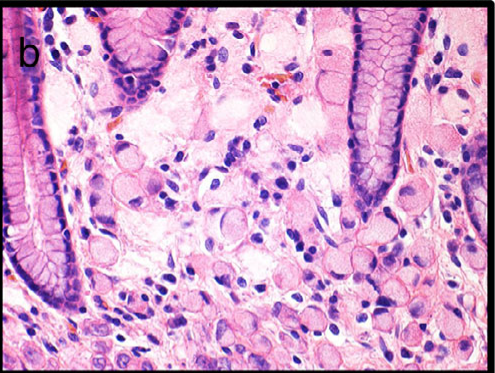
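Here signet ring carcinoma cells are scattered through the mucosa between two gastric pits lined by tall mucous cells. The tumour cells are rounded and lie singly or in loose groups in the stroma, each with abundant pale pink to clear cytoplasm. Their small dark nuclei are pressed to the edge of the cell, giving the signet ring look. The foveolar lining on either side still has its orderly columnar cells with pale mucinous tops.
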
